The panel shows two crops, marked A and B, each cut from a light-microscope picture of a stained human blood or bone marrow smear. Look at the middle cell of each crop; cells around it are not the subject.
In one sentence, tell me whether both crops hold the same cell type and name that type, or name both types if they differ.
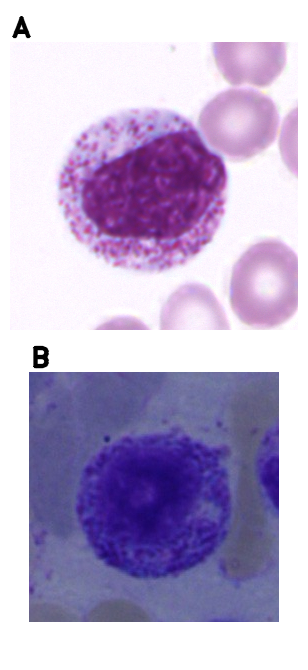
Yes, both crops, not just one, show myelocytes.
